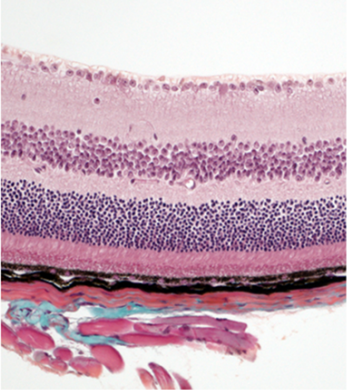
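This section of retina shows evenly stacked layers running flat across the field, with two bands of purple nuclei separated by pale pink plexiform layers. The lower nuclear band is thick and densely packed with small dark nuclei, and beneath it a pink photoreceptor segment layer lies against a continuous dark pigmented line. Below the pigment, teal fibres form only a thin band in the outer coat, and red-stained muscle bundles lie outside the eye. No mound or folding disturbs the layers.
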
